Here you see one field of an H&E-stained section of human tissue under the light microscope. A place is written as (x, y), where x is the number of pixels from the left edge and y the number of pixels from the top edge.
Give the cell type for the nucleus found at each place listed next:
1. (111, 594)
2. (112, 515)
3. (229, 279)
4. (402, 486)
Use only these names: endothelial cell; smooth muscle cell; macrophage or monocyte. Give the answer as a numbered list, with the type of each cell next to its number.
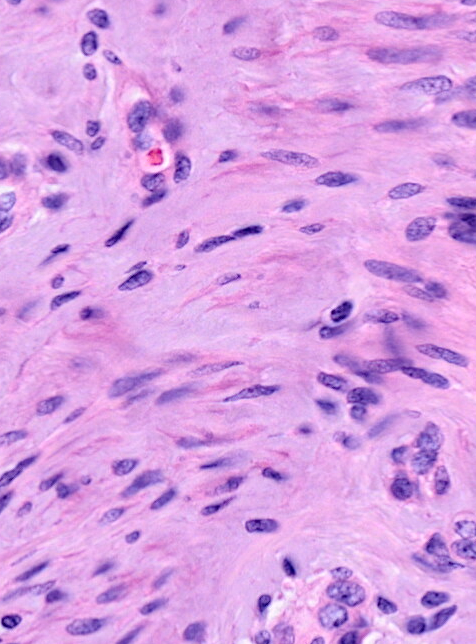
1. smooth muscle cell
2. smooth muscle cell
3. smooth muscle cell
4. endothelial cell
